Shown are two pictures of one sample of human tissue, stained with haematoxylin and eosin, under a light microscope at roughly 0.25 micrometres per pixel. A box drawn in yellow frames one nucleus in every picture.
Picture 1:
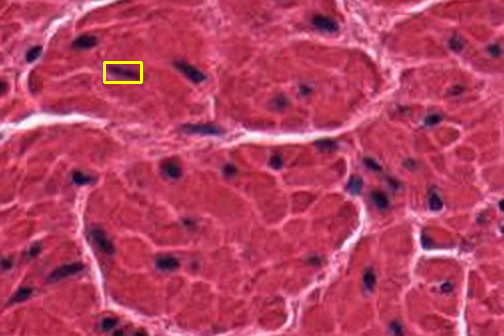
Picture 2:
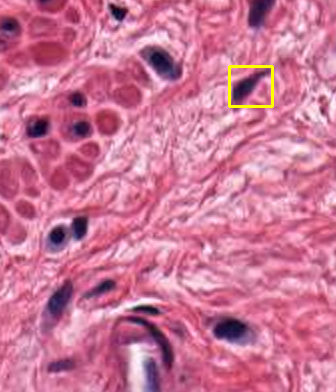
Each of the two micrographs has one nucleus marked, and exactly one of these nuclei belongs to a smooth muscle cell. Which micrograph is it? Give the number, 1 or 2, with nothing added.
1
